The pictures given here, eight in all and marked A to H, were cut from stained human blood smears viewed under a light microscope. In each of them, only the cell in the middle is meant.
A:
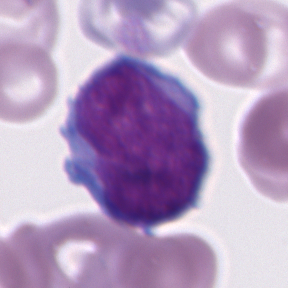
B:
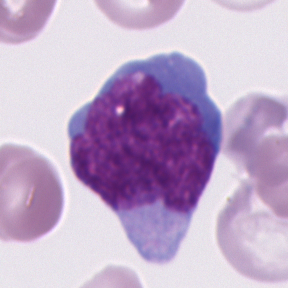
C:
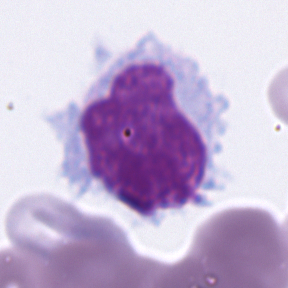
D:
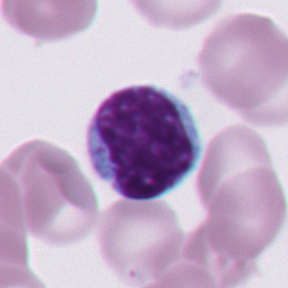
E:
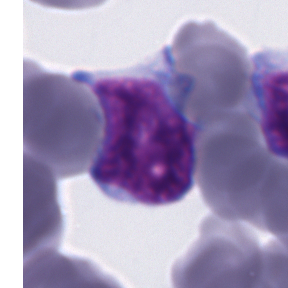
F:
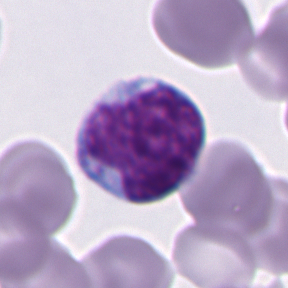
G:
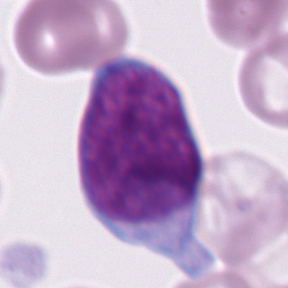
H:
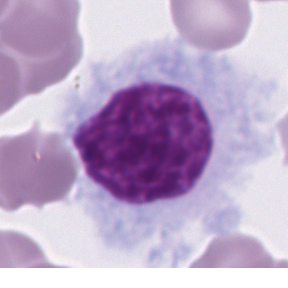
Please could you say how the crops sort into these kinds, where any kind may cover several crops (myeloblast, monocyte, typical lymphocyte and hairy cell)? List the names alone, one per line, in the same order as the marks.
myeloblast
myeloblast
hairy cell
typical lymphocyte
typical lymphocyte
typical lymphocyte
myeloblast
hairy cell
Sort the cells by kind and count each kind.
myeloblast: 3
typical lymphocyte: 3
hairy cell: 2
